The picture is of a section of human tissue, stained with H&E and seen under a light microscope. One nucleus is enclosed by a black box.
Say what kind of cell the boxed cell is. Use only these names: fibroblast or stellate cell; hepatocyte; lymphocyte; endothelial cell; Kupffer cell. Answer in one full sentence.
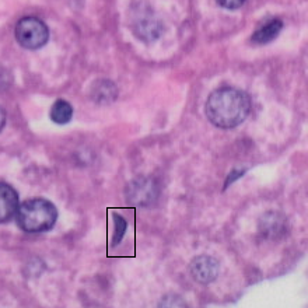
Labelled by cell type, the boxed cell is an endothelial cell.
